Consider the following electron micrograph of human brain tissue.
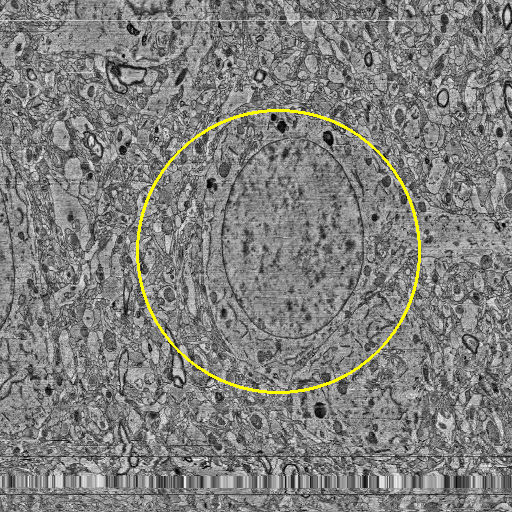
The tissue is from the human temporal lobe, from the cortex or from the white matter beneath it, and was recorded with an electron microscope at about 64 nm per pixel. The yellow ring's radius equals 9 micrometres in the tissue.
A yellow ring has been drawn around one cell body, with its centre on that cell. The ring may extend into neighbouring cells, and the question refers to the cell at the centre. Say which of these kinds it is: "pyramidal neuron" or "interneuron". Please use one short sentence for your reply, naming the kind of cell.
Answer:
The centre of the ring falls on a pyramidal neuron.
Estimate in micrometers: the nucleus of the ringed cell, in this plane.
The nucleus of the ringed cell is approximately 13 by 9 micrometres in this plane.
